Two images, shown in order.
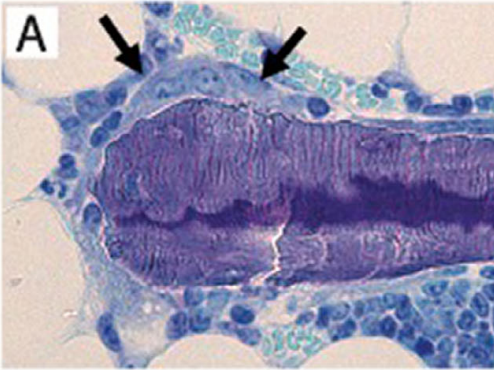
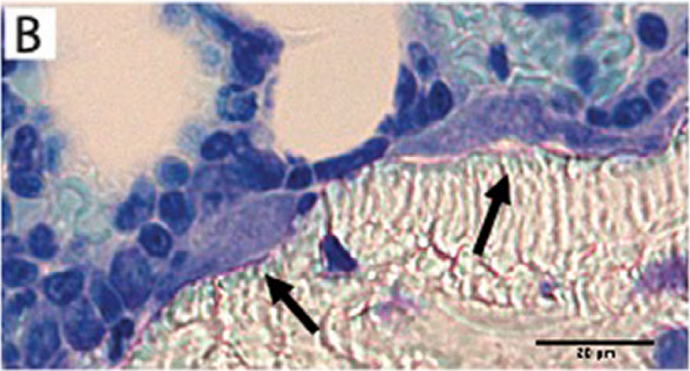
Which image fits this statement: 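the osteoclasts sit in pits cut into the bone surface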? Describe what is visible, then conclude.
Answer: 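The second image. First image: the large cell lies along a bone surface without a clear pit beneath it.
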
